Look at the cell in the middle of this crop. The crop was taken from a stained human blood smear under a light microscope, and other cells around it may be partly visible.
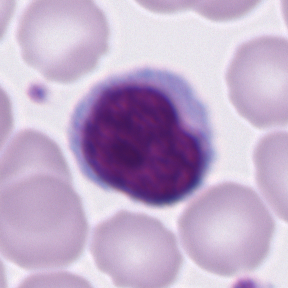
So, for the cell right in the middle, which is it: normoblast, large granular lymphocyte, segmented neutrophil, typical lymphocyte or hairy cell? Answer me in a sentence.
The cell at the heart of this crop is a typical lymphocyte.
